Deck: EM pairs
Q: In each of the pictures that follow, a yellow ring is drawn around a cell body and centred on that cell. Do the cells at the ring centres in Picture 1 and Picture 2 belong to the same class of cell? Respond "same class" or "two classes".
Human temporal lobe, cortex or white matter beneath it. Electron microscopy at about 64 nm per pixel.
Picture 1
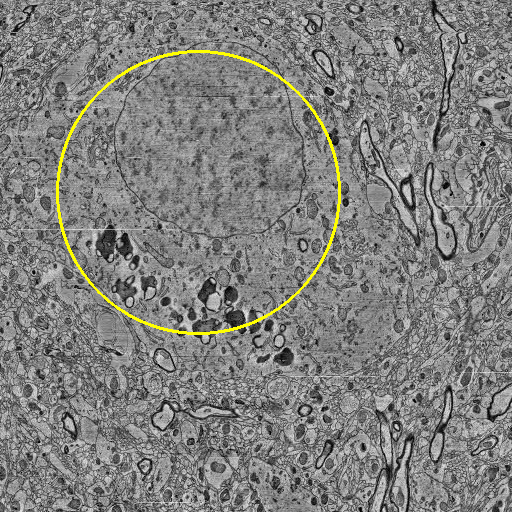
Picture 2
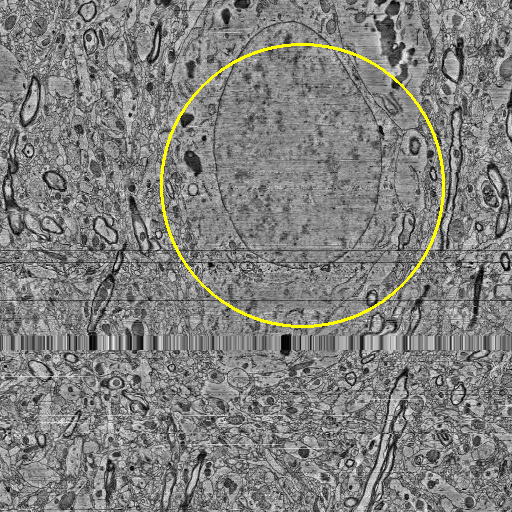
same class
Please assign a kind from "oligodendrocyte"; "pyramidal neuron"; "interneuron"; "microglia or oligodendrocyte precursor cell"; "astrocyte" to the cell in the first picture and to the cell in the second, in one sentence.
The cell in the first picture is a pyramidal neuron, and so is the one in the second.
